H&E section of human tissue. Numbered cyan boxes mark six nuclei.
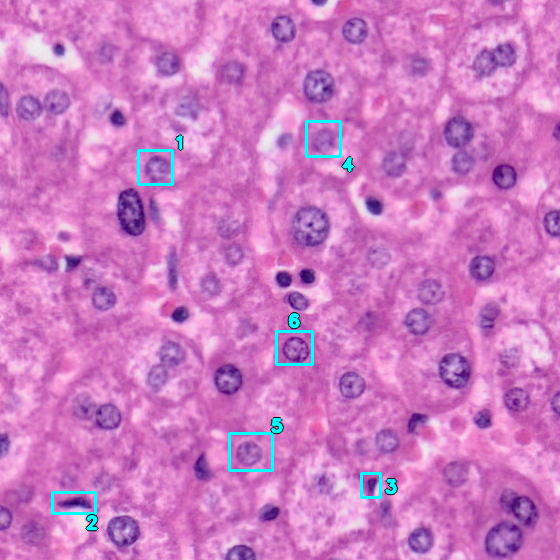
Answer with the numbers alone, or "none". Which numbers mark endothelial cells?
2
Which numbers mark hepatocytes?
1, 4, 5, 6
